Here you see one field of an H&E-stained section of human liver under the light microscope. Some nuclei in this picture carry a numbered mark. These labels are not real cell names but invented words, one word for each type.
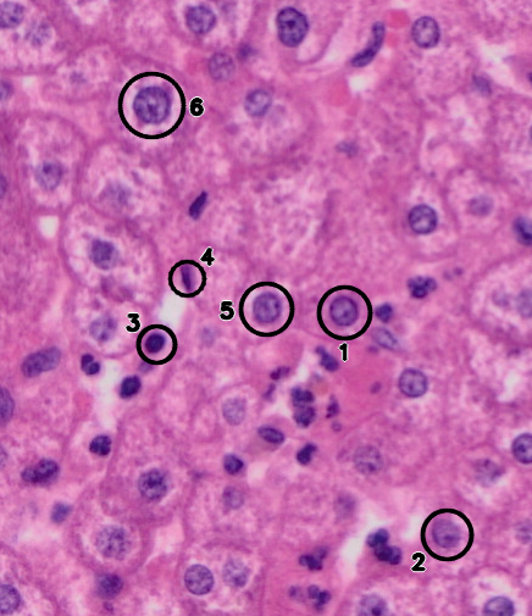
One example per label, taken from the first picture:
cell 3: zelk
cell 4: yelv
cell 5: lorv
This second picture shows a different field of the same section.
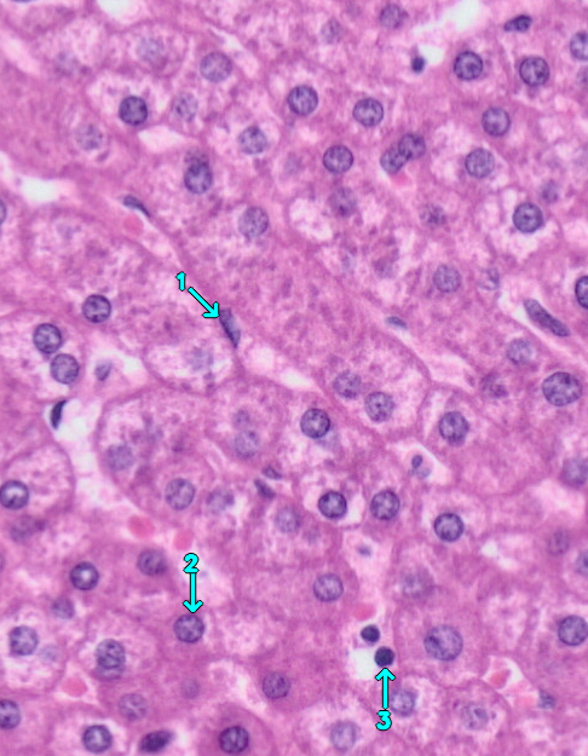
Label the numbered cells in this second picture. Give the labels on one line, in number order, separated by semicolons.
yelv; lorv; zelk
